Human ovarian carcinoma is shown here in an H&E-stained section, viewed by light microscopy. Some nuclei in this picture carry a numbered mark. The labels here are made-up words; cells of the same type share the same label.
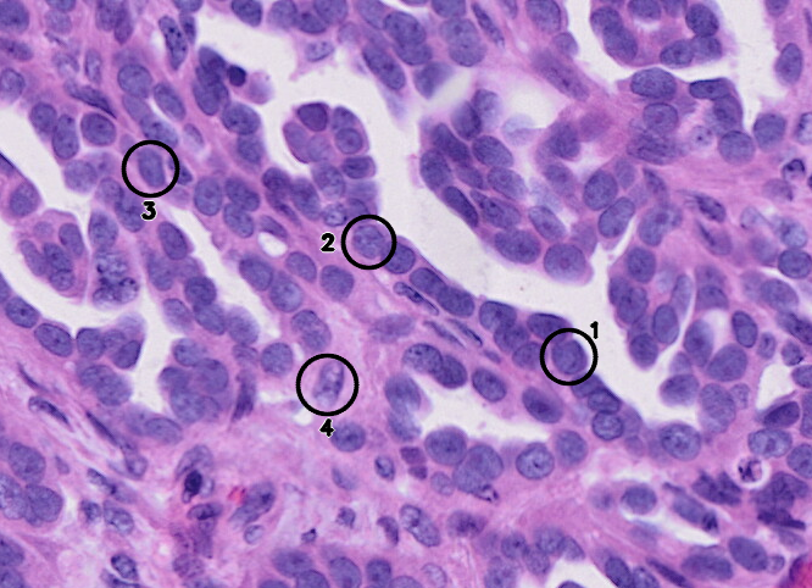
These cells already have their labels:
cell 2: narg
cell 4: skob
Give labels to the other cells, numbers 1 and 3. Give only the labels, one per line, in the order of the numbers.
narg
narg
